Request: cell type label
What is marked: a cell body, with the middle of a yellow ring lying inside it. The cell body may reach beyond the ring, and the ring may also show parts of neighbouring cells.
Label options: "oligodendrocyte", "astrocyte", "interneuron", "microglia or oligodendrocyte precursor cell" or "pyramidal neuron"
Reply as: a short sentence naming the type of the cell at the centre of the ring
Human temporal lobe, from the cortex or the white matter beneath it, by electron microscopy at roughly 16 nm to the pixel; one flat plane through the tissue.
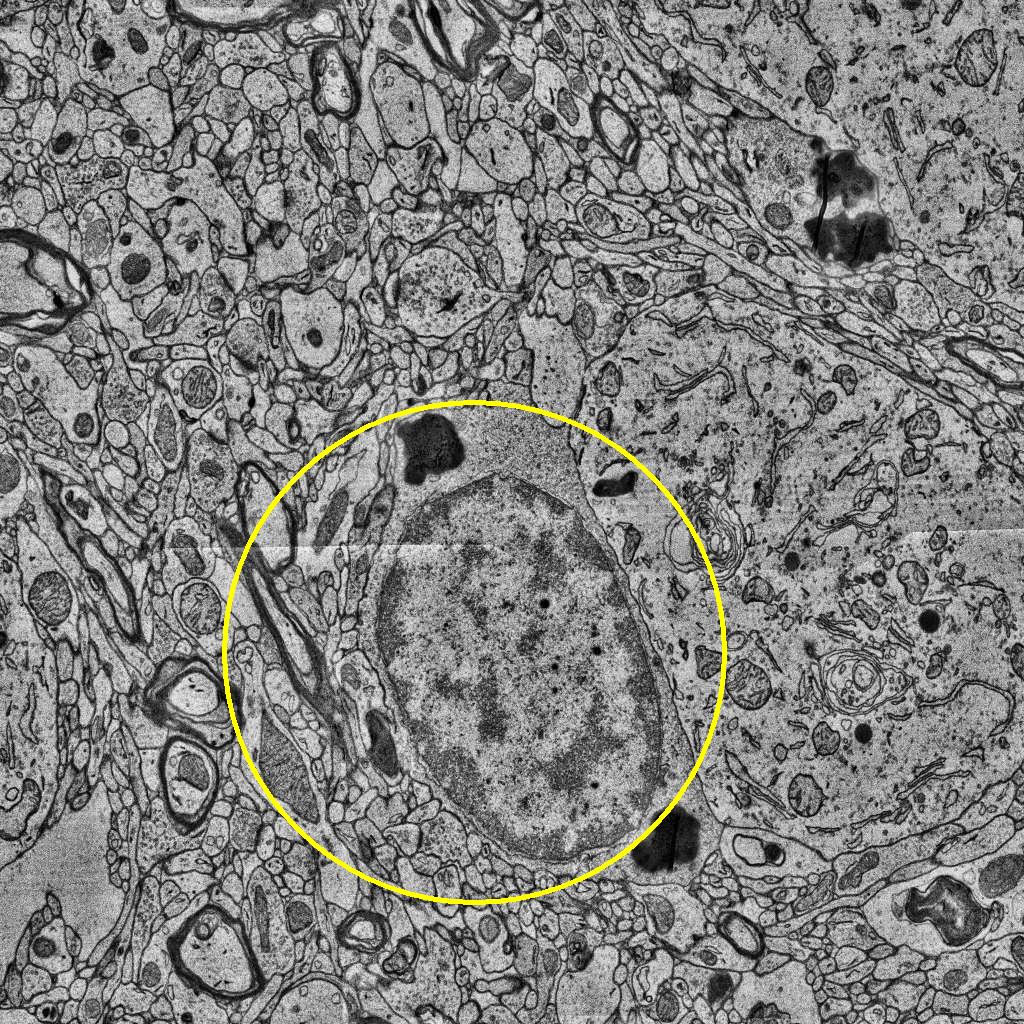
The marked cell body is that of an oligodendrocyte.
